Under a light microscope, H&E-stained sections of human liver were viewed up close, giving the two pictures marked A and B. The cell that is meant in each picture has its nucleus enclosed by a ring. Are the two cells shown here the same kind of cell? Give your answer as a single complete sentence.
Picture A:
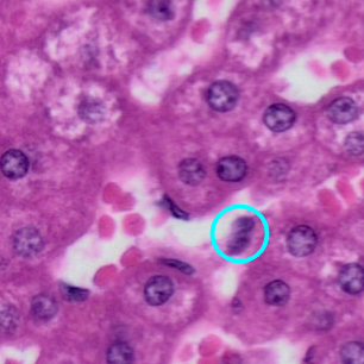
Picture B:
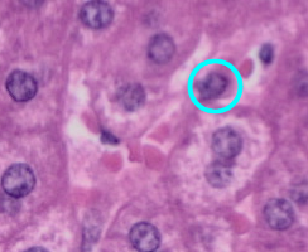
Yes; the cells in both pictures are Kupffer cells.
